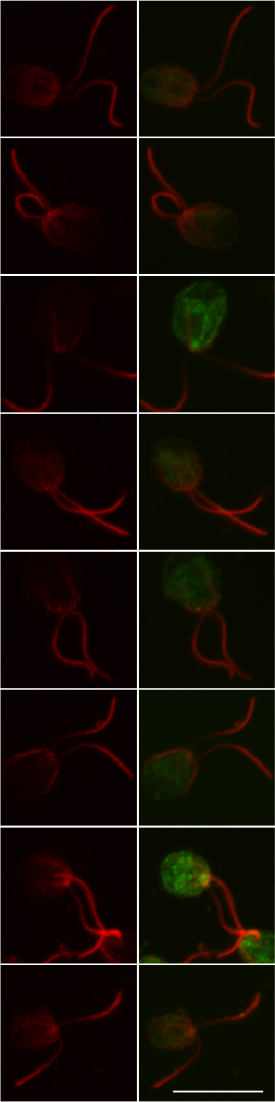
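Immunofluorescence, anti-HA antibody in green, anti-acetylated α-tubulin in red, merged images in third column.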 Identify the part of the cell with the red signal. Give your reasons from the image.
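Flagella. Long thin red filaments extend from one end of each cell. The red filaments come in pairs from each cell.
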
